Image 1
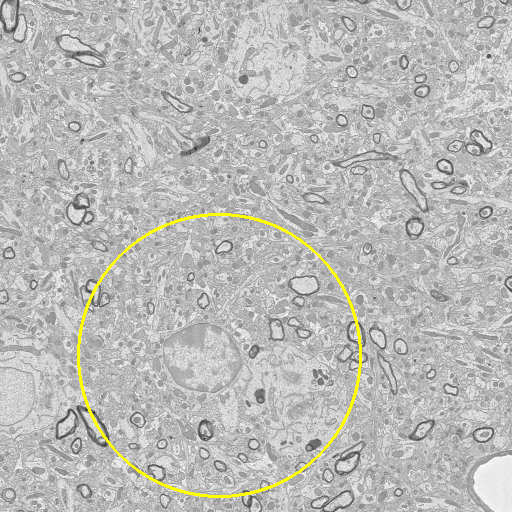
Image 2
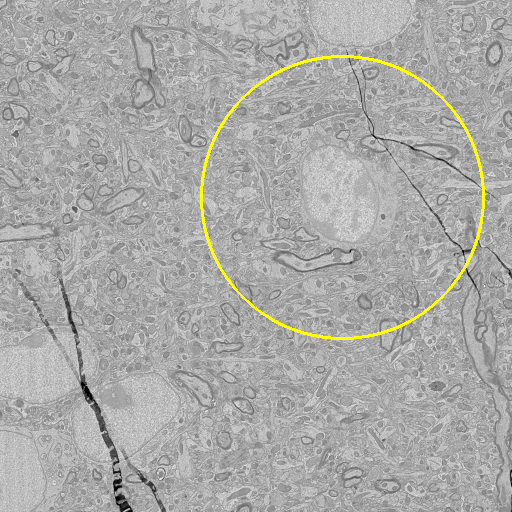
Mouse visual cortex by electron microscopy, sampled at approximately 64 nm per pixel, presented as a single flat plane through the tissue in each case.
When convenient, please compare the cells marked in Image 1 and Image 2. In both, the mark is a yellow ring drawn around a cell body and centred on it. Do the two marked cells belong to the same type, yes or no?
yes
